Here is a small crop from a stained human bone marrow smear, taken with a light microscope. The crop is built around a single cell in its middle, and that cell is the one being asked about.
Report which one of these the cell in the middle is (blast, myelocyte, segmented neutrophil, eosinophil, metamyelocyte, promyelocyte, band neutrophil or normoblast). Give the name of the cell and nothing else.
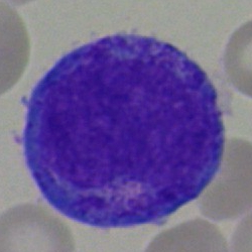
promyelocyte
